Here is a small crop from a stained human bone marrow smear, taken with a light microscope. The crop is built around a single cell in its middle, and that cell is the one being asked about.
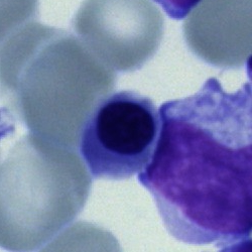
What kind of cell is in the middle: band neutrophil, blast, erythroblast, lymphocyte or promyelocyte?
erythroblast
